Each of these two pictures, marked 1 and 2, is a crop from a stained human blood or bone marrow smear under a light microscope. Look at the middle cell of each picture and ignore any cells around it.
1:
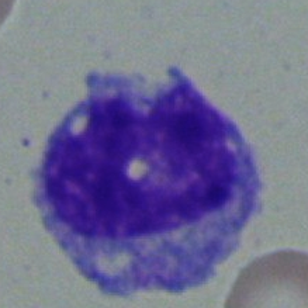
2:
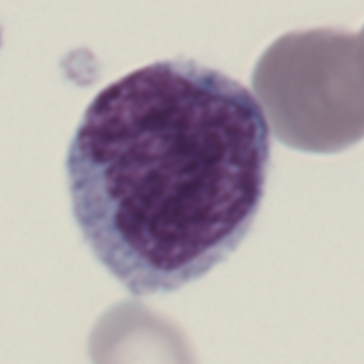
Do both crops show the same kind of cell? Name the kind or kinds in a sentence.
Yes, as shown in both crops, the central cells are monocytes.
